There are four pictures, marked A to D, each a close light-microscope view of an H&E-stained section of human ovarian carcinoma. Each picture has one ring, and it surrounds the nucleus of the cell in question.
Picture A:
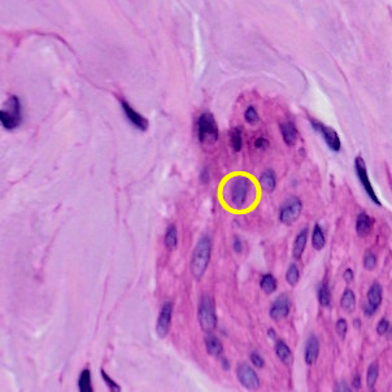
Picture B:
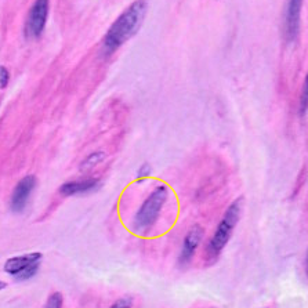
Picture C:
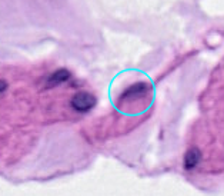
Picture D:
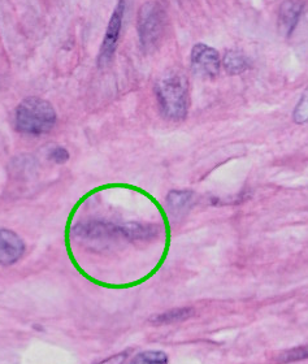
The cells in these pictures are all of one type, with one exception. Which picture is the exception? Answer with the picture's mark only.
D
